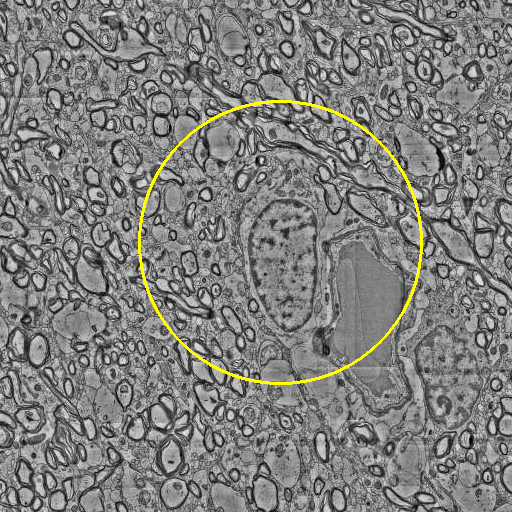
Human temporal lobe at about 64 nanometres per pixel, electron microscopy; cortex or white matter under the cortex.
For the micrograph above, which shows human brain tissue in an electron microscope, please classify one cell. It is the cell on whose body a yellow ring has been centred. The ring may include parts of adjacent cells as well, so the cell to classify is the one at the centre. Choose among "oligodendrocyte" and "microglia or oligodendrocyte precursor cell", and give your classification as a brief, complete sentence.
I classify this cell as a microglial cell or oligodendrocyte precursor cell.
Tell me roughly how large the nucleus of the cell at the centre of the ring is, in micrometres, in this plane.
The nucleus comes to approximately 8 by 4 micrometres and is clearly longer than it is wide in this plane.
